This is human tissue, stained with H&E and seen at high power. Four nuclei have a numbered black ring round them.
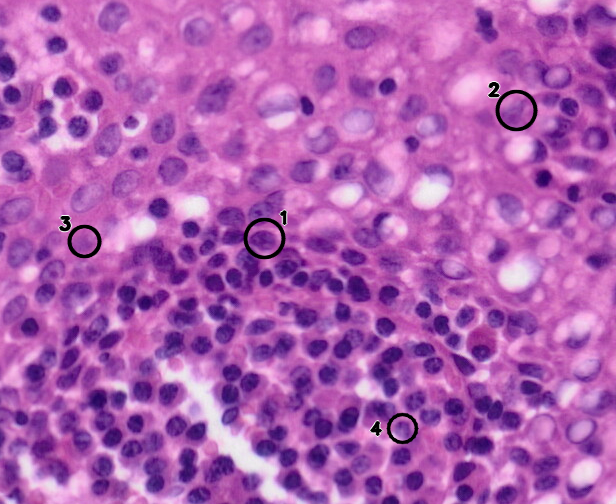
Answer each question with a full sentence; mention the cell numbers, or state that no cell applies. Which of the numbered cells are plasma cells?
Of the cells marked with numbers, cell 4 is the only one that is a plasma cell.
